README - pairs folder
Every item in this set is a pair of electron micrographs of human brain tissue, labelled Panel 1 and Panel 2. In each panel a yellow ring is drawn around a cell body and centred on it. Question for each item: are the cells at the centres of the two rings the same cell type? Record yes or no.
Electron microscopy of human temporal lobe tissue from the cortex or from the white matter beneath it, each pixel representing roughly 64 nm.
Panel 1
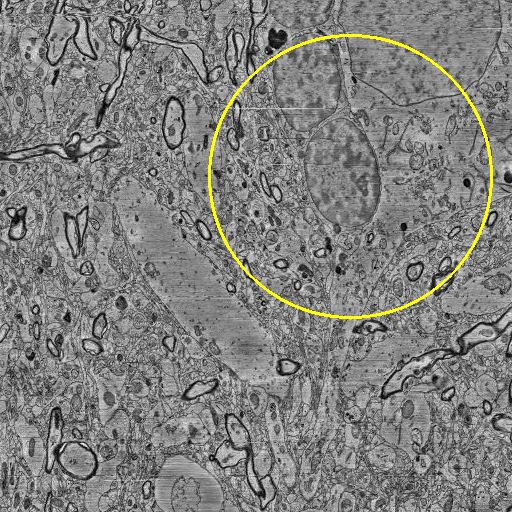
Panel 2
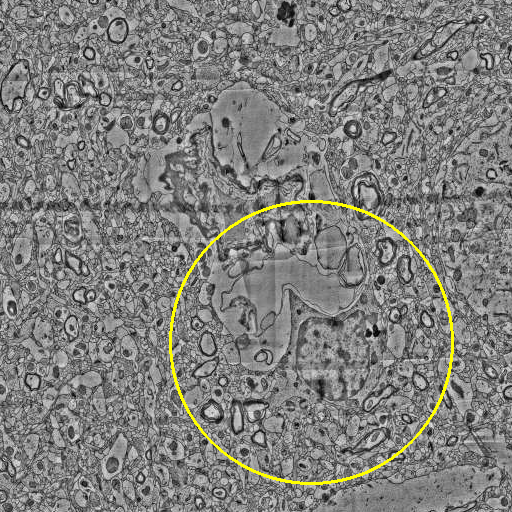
yes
